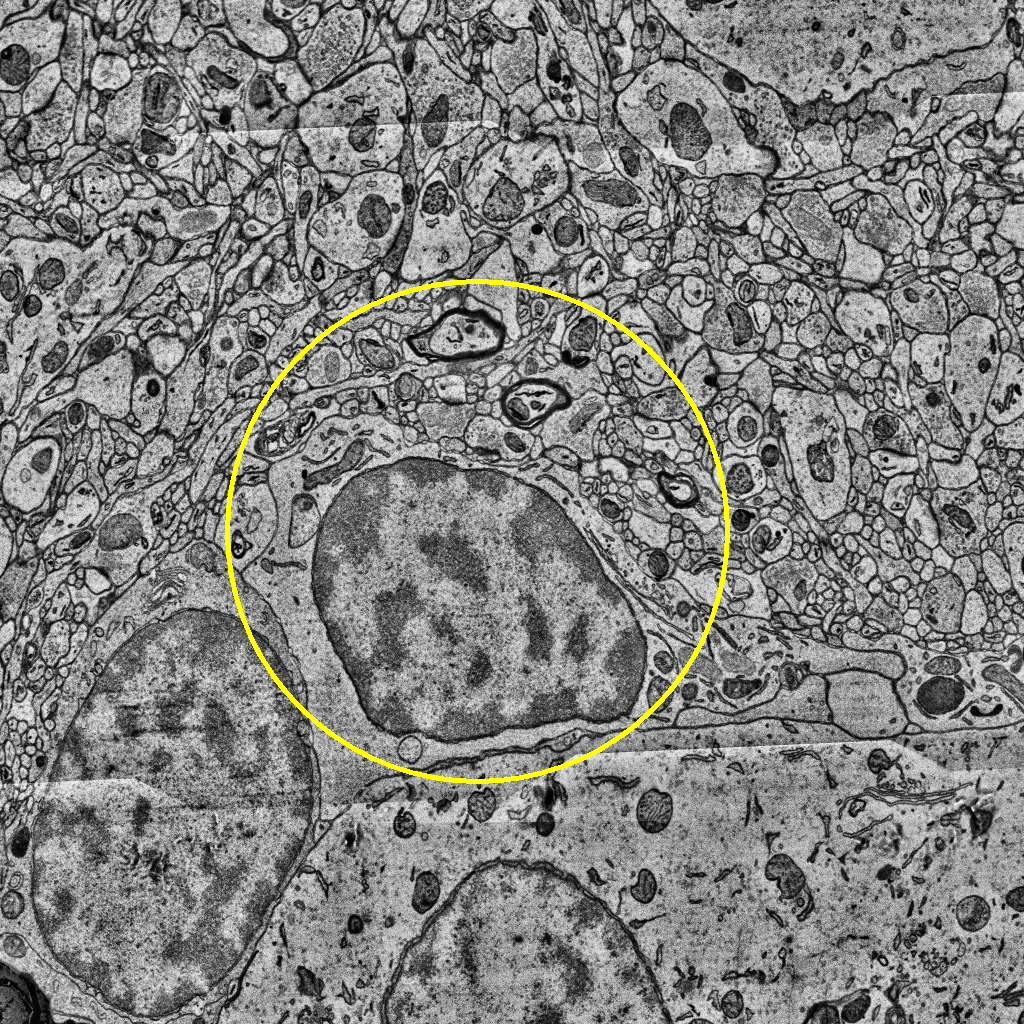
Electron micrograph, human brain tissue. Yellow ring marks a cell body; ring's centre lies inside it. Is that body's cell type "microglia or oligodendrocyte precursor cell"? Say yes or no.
yes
